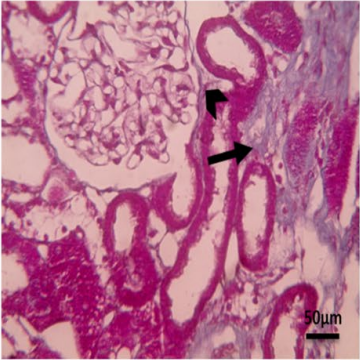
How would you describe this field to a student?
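This is kidney cortex with a glomerulus at upper left and tubules cut in various planes around it. The tubular epithelium stains deep red-purple, and several tubules have widened lumina. Between the tubules lies a broad band of blue-stained fibrous material, marking interstitial fibrosis. The glomerulus shows a loose network of capillary loops, enclosed by its capsule.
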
